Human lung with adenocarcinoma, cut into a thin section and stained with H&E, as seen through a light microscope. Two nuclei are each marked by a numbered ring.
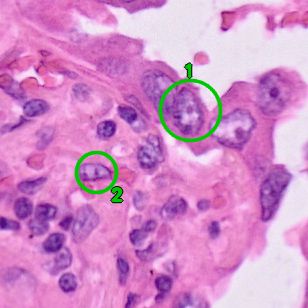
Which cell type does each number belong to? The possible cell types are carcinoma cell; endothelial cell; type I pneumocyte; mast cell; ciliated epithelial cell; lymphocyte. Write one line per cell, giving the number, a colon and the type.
1: carcinoma cell
2: endothelial cell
